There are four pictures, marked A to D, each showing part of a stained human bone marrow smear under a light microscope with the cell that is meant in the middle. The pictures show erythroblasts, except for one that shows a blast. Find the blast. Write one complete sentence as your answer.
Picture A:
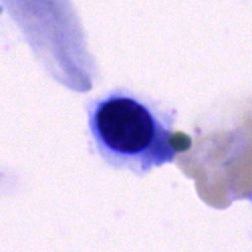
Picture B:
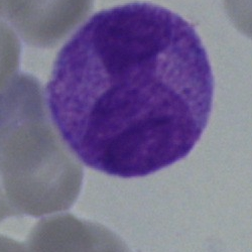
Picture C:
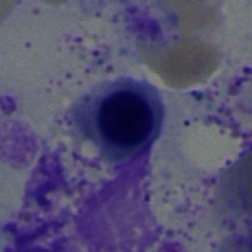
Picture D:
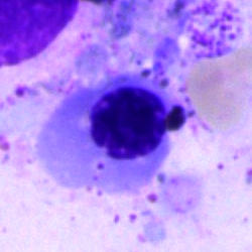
Picture B shows the blast.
